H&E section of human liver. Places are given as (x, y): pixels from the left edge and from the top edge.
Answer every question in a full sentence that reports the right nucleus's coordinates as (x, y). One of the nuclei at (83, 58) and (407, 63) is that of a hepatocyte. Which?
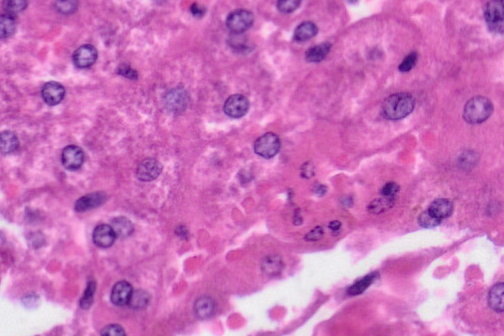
The nucleus at (83, 58) belongs to a hepatocyte, which distinguishes it from the other nucleus.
